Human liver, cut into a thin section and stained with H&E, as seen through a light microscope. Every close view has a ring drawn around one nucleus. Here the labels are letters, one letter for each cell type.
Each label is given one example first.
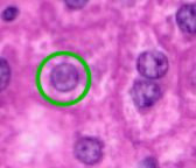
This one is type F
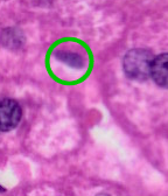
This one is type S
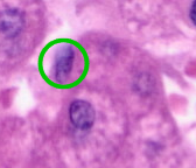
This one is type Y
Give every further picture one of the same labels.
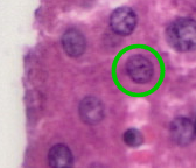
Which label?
type F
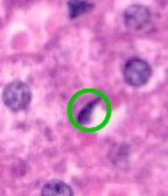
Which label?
type S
